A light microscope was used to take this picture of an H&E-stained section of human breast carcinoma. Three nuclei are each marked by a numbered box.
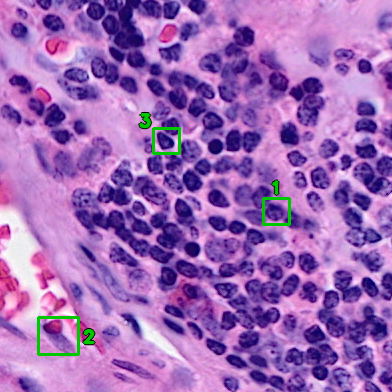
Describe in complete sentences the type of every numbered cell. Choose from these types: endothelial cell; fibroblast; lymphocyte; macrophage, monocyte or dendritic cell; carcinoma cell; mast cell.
Cell 1 is a lymphocyte, cell 2 is an endothelial cell and cell 3 is a lymphocyte.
